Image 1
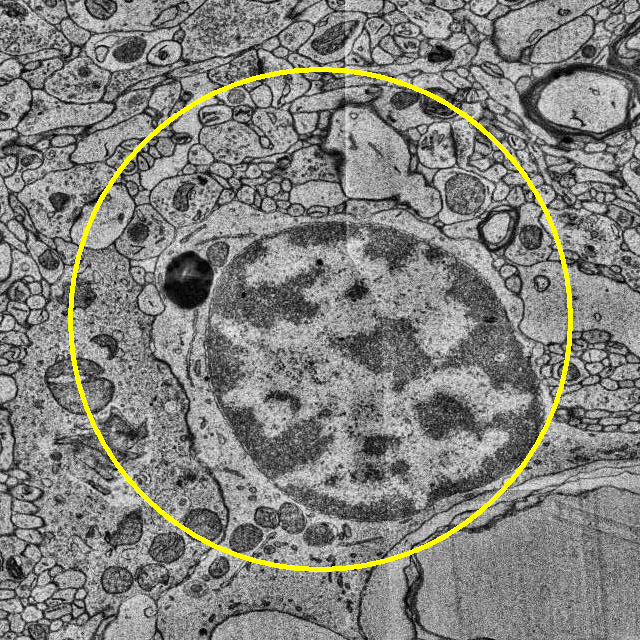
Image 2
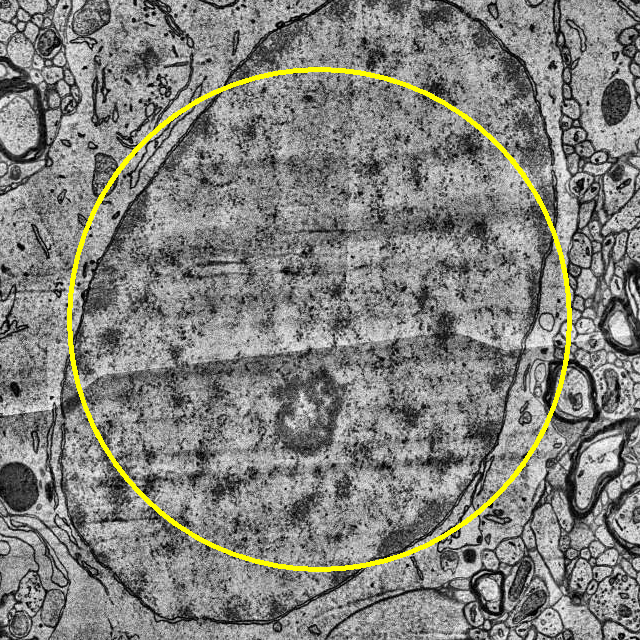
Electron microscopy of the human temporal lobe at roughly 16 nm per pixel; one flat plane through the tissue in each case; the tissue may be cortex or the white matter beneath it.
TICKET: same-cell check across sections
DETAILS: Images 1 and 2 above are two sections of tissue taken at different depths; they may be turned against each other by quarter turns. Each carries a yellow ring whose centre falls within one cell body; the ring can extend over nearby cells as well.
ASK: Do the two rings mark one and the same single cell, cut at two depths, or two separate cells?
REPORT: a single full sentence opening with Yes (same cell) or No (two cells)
No, the rings mark two cells rather than a single cell.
